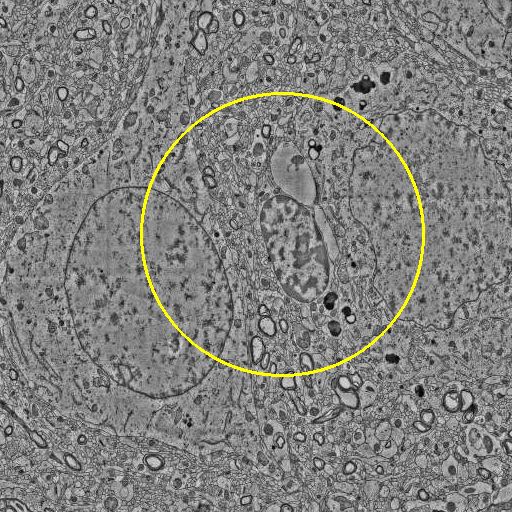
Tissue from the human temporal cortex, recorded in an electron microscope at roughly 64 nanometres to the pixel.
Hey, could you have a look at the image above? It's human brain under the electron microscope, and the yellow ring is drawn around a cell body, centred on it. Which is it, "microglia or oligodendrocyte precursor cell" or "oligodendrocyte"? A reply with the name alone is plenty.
microglia or oligodendrocyte precursor cell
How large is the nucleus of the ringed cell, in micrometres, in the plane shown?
In this plane the nucleus measures about 7 by 4 micrometres and is clearly longer than it is wide.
